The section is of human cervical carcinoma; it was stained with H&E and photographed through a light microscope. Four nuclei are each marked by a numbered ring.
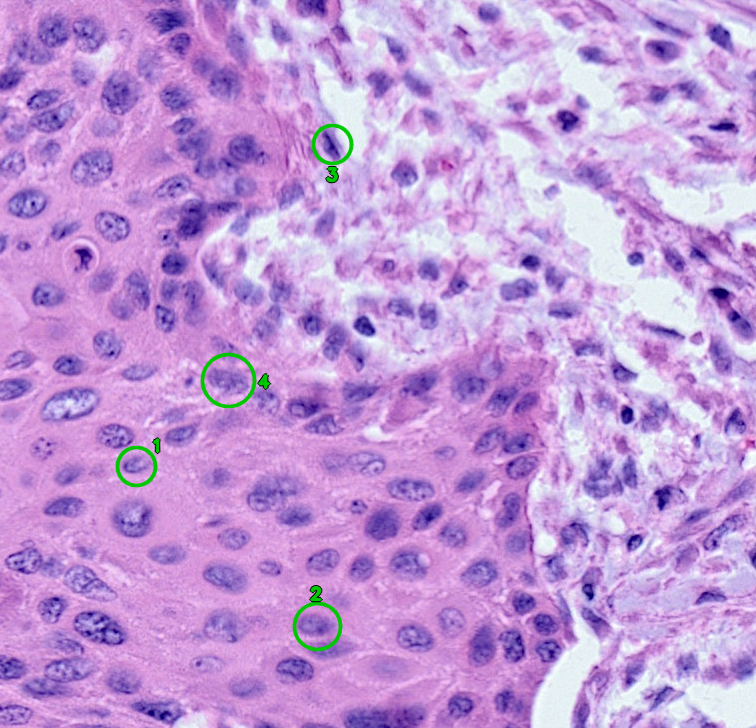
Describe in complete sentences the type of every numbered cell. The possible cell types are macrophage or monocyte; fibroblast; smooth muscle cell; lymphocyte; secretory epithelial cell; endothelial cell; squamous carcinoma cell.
Cell 1 is a squamous carcinoma cell, cell 2 is a squamous carcinoma cell, cell 3 is a fibroblast and cell 4 is a squamous carcinoma cell.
